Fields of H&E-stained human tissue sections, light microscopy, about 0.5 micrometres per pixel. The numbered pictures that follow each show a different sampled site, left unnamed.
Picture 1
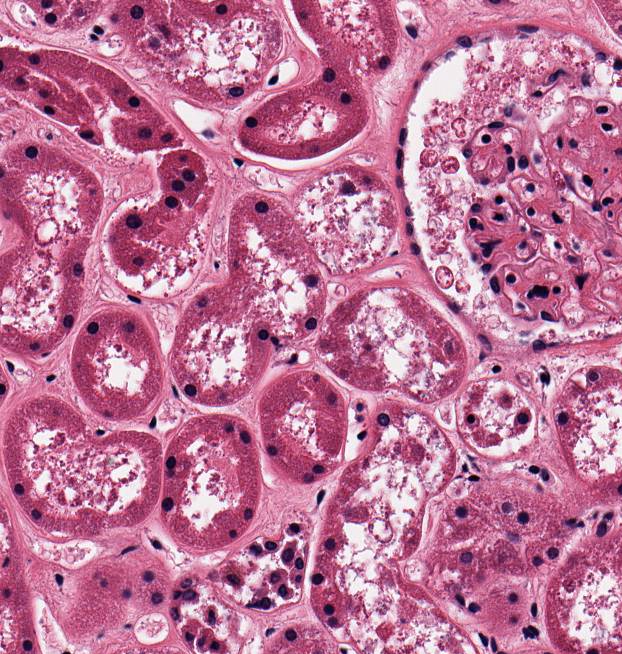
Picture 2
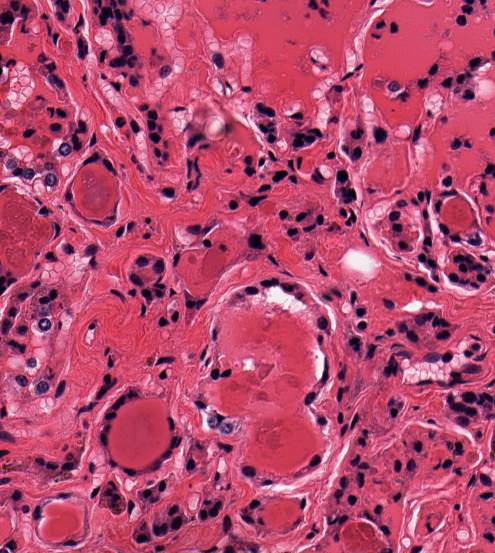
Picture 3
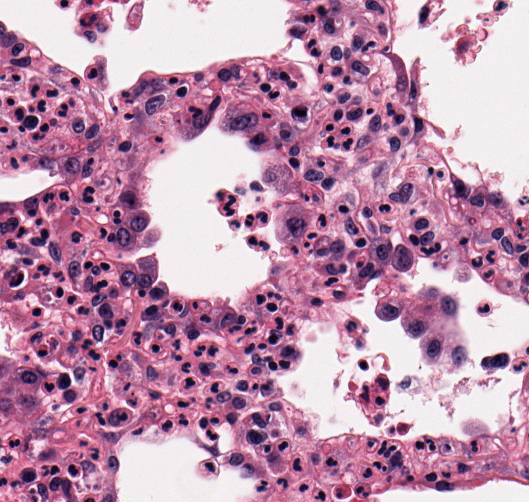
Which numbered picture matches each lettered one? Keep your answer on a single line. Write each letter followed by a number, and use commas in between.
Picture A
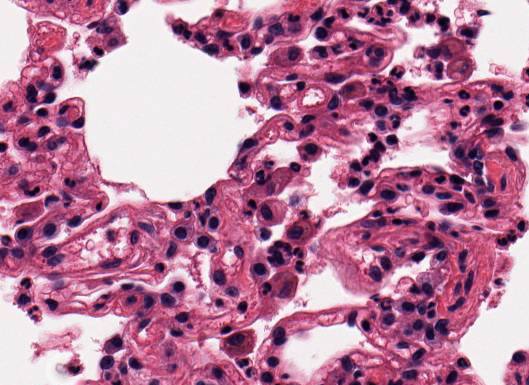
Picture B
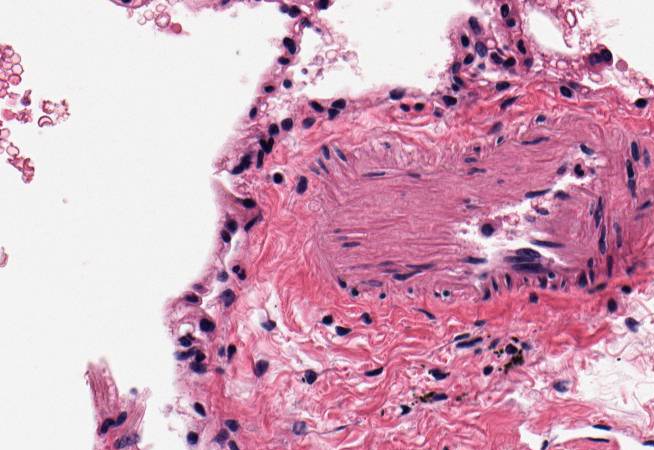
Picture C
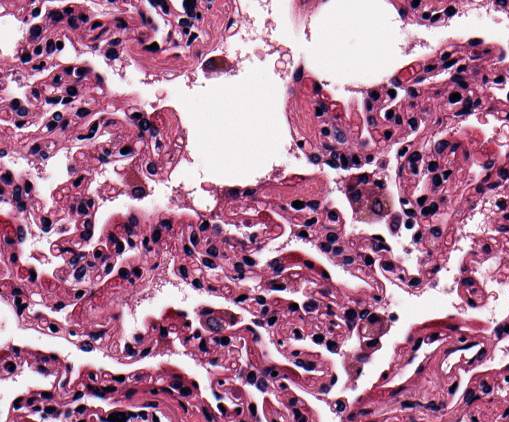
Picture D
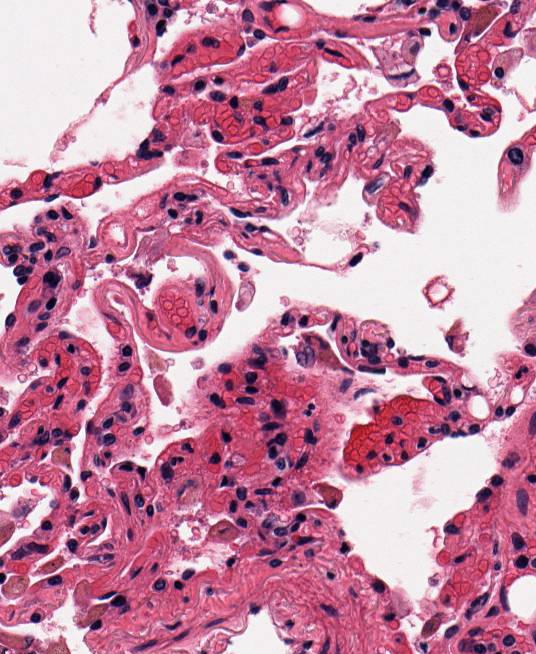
A 3, B 3, C 3, D 3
